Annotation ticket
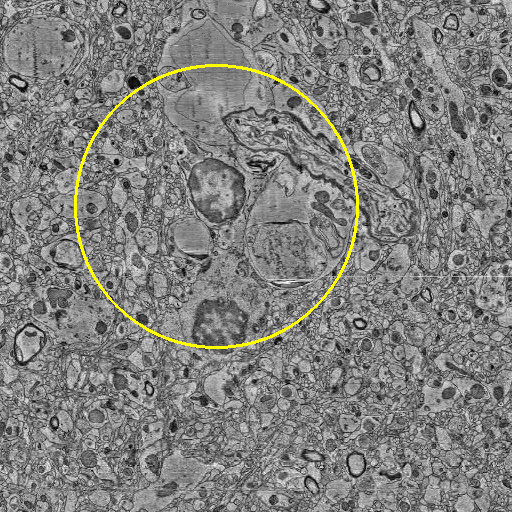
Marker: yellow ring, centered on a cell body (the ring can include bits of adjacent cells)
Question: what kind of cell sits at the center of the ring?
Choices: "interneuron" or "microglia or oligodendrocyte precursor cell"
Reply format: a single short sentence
The ring is centered on a microglial cell or oligodendrocyte precursor cell.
